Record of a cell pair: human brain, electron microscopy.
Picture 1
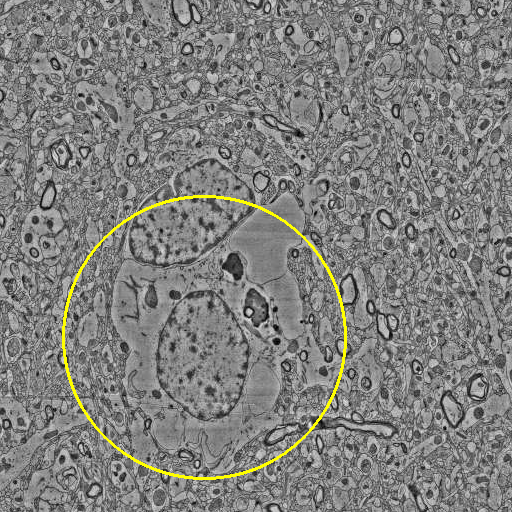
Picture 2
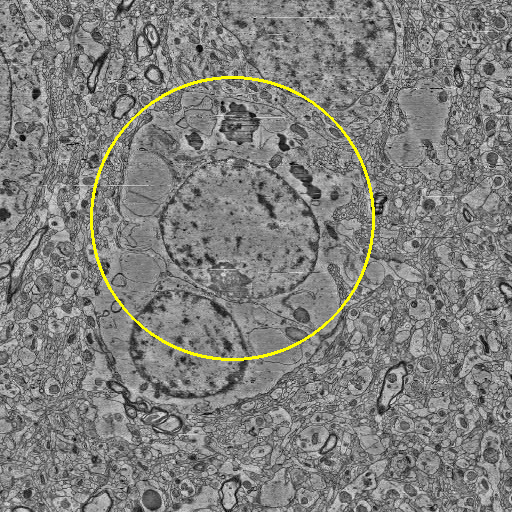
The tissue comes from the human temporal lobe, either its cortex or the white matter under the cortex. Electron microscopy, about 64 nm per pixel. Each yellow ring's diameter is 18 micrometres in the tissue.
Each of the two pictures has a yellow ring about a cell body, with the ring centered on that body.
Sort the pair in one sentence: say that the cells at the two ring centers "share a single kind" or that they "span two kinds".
The cells centered in the rings of Pictures 1 and 2 share a single kind.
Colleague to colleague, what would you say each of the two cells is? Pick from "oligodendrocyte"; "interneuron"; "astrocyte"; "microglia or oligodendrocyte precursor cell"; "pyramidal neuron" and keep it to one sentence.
The second cell is an astrocyte, just as the first is.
